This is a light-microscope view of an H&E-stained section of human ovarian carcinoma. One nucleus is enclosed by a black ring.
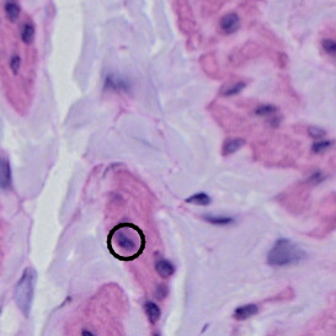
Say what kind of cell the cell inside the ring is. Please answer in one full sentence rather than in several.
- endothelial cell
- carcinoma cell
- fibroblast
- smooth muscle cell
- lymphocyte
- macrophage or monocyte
So far as cell type goes, the cell inside the ring is a smooth muscle cell.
